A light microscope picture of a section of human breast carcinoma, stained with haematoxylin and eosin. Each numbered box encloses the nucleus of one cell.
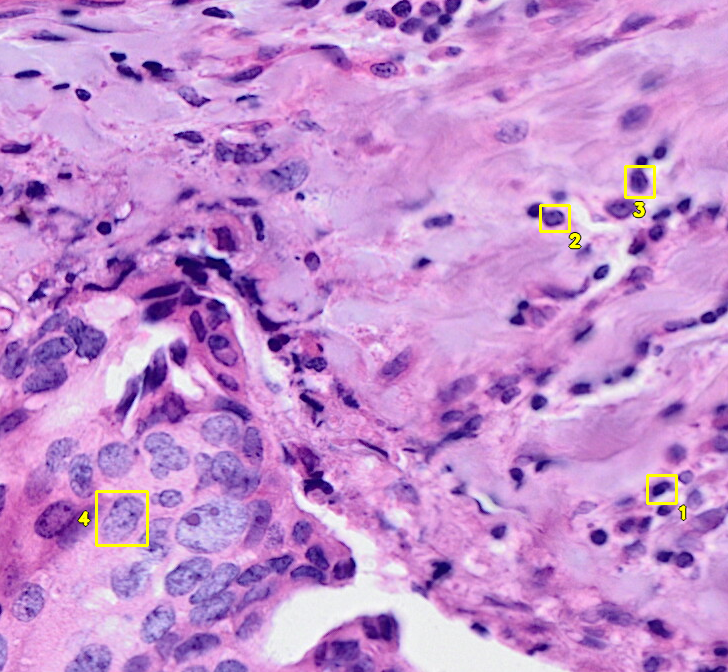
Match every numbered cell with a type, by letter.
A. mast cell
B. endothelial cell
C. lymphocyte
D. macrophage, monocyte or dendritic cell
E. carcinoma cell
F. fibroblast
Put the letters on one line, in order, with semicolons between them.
C; C; C; E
